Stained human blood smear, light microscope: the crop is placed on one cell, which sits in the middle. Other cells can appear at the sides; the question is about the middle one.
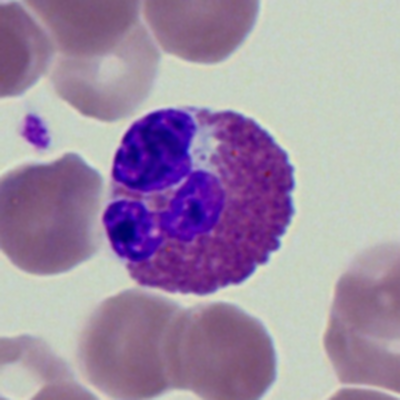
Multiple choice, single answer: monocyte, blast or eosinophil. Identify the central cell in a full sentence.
Framed in the middle of the crop is an eosinophil.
